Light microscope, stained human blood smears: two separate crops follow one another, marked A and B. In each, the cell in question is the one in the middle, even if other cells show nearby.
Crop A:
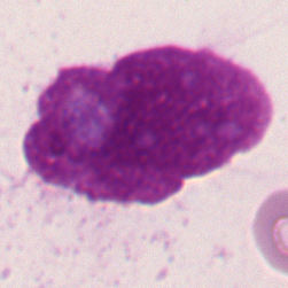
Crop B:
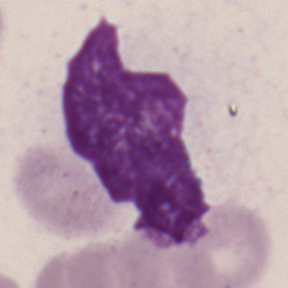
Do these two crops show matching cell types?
yes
